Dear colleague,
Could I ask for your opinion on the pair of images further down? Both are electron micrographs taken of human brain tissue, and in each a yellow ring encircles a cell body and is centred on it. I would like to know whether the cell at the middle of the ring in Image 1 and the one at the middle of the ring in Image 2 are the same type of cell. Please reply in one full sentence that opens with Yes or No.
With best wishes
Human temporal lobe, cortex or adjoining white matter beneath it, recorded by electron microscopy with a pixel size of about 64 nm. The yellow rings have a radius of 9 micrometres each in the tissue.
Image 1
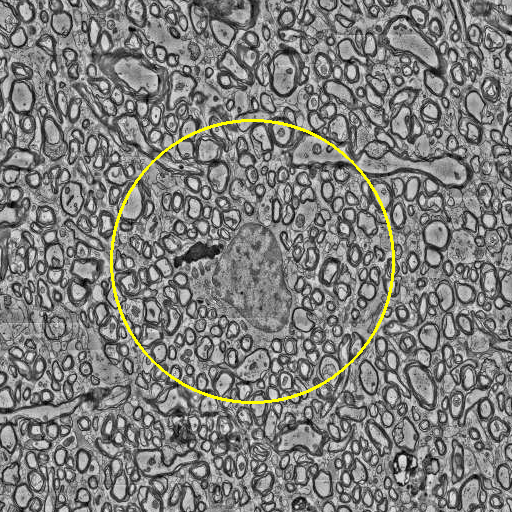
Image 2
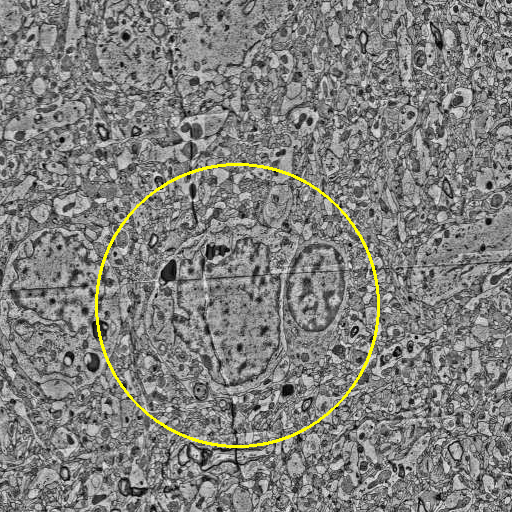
No, the cells at the ring centres in Image 1 and Image 2 are of two types.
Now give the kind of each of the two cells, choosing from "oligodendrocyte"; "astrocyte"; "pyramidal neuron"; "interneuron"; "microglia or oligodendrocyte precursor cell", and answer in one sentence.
The cell in the first picture is an oligodendrocyte, and the cell in the second is an interneuron.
